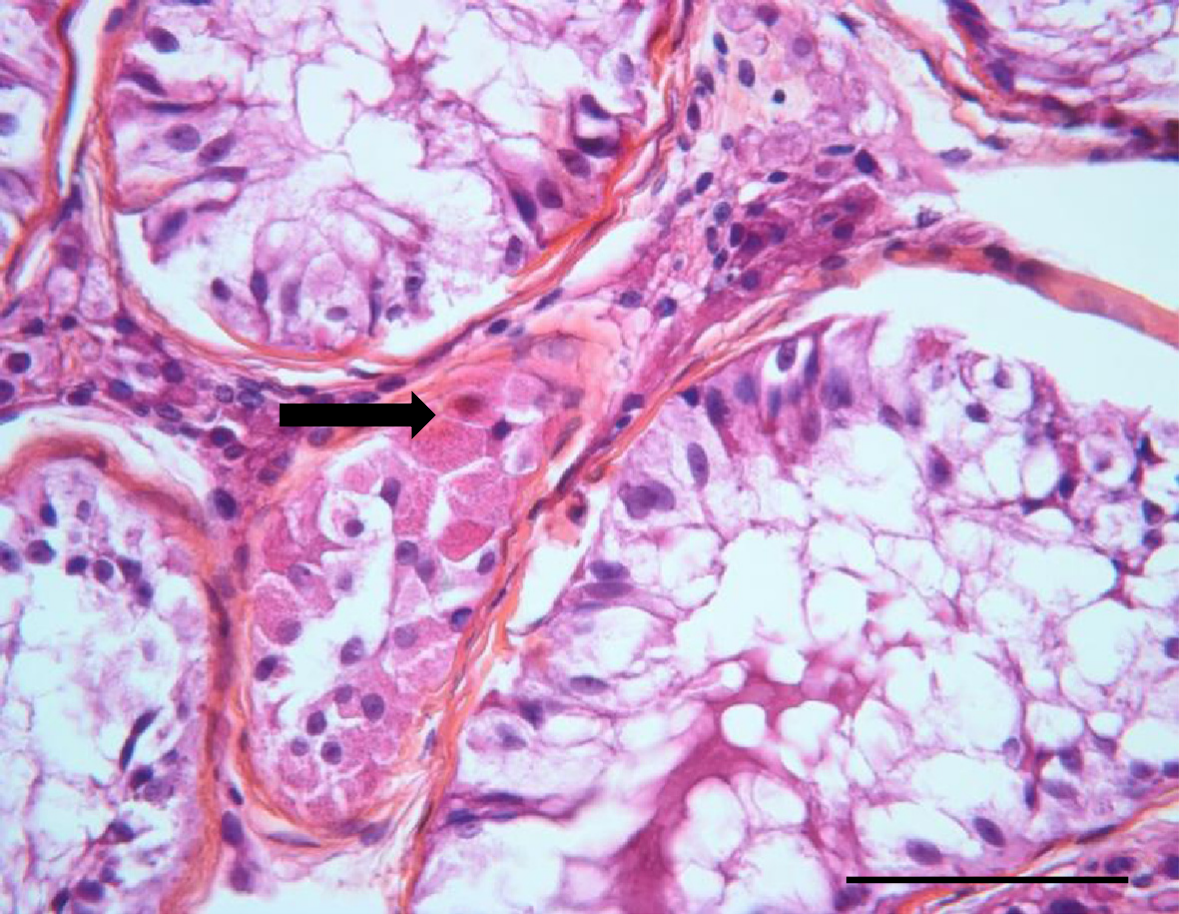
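The section shows several large seminiferous tubules lined only by Sertoli cells, with a flattened tubule squeezed between them. The Sertoli cells in the large tubules have pale, foamy, vacuolated cytoplasm and oval nuclei. No layered germ cells and no sperm are seen. Wavy pink basement membranes outline each tubule. A cellular interstitium with small dark nuclei lies between the tubules. The narrow central tubule holds cells of a different look: their cytoplasm is abundant, granular and deeply pink. This appearance is an oncocytic change of the Sertoli cell cytoplasm.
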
